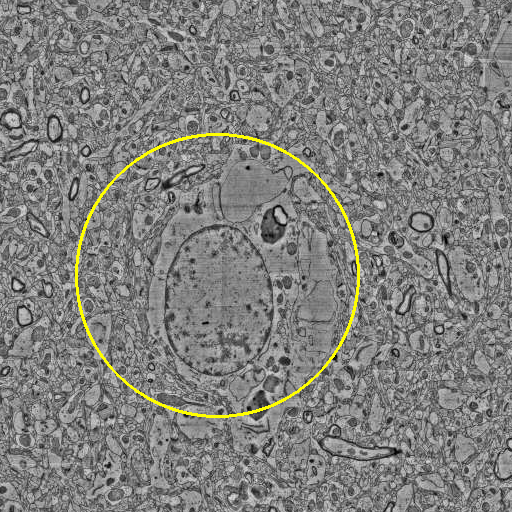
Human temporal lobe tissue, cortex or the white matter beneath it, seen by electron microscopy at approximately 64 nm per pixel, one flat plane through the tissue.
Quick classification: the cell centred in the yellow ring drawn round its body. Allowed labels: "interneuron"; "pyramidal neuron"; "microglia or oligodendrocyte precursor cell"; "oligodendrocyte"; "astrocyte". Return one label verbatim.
astrocyte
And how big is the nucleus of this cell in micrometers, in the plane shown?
The nucleus is approximately 10 micrometers long by 7 micrometers wide in this plane.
